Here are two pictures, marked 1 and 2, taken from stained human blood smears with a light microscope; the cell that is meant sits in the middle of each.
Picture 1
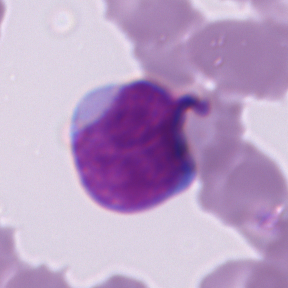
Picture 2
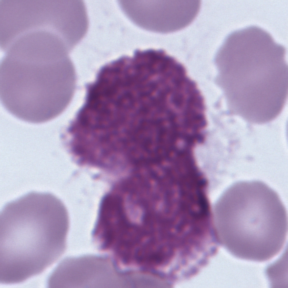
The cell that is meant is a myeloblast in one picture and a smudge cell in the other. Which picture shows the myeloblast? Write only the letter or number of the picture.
1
